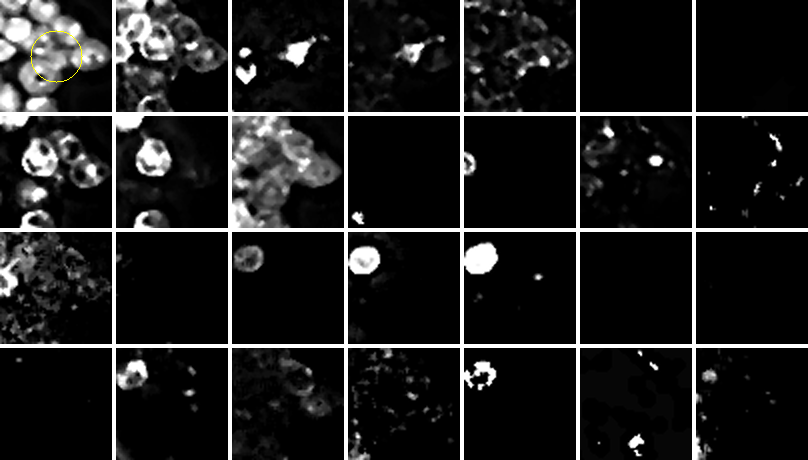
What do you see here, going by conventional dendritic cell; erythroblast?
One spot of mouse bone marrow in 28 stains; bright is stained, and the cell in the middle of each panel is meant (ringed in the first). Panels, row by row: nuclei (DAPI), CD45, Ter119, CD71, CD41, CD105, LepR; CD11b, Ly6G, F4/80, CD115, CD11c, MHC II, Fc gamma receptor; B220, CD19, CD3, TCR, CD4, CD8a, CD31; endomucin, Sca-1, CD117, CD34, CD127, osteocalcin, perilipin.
I see an erythroblast.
